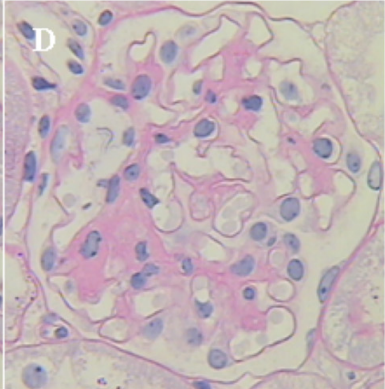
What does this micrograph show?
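Through the centre of the tuft run broad, branching bands of magenta-stained mesangial matrix that separate the capillary loops. The nuclei are oval, pale blue and rather spaced out within the tuft. A thin magenta capsule outlines the glomerulus, with tubules at the edges of the field.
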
